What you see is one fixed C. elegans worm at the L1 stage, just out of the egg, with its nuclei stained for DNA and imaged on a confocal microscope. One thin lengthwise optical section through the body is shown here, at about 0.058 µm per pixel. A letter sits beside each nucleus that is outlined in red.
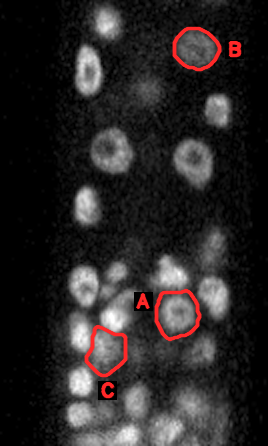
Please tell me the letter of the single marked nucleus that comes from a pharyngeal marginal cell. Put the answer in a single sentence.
C is from a pharyngeal marginal cell.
